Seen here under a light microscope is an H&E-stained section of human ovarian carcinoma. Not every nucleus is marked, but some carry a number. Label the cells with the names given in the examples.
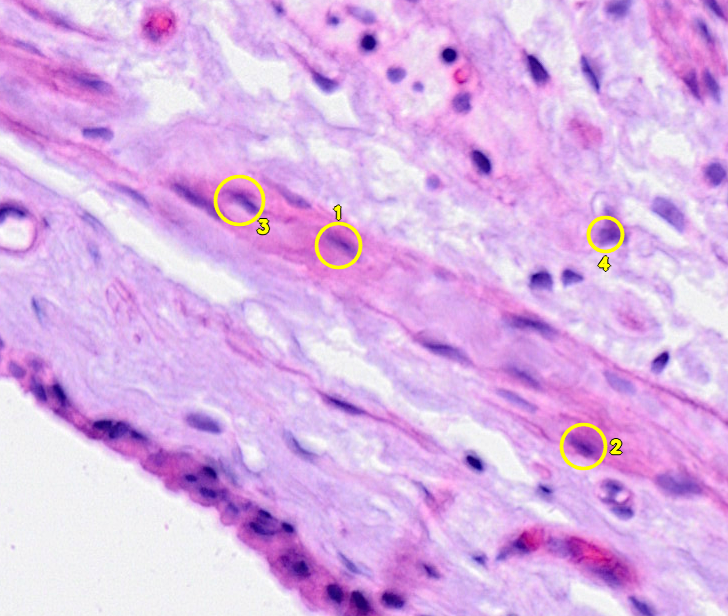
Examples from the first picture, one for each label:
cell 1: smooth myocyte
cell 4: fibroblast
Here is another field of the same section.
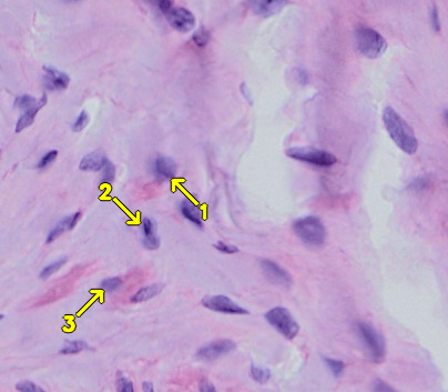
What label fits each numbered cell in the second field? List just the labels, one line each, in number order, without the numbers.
fibroblast
fibroblast
smooth myocyte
